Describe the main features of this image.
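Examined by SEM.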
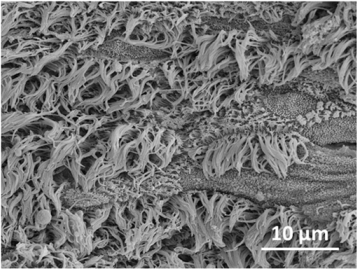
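Long, slender cilia arise in dense tufts and lie tangled and swept across one another, hiding most cell borders. In the gaps between the tufts, parts of the cell surface are visible, studded with short, knob-like microvilli.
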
